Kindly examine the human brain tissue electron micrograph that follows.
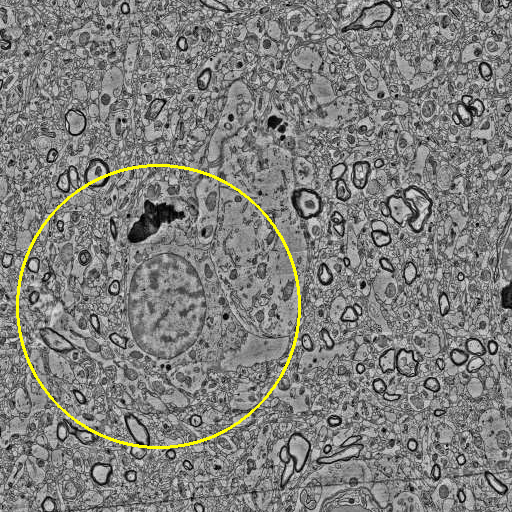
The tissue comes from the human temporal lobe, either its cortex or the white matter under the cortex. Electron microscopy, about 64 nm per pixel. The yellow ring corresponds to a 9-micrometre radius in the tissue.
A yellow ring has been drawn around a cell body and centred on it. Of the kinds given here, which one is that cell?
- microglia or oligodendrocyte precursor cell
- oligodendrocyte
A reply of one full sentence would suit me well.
The micrograph's ringed cell, the one at the ring's centre, is an oligodendrocyte.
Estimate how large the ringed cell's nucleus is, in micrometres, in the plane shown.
About 7 by 5 micrometers for the nucleus, in this plane.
